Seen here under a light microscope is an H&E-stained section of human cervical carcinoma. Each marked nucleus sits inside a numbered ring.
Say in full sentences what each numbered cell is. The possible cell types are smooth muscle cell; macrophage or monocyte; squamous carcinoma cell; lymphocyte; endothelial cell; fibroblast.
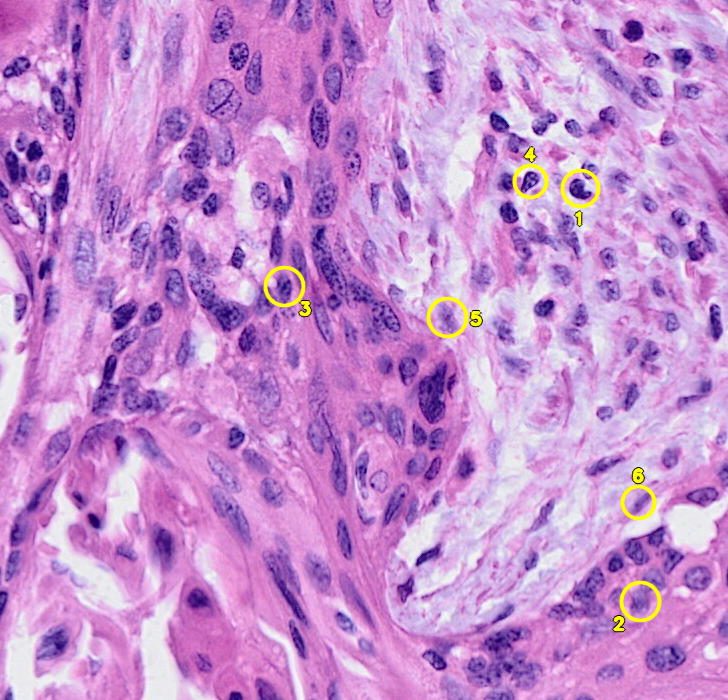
Cell 1 is a lymphocyte, cell 2 is a squamous carcinoma cell, cell 3 is a squamous carcinoma cell, cell 4 is a lymphocyte, cell 5 is a fibroblast and cell 6 is a fibroblast.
